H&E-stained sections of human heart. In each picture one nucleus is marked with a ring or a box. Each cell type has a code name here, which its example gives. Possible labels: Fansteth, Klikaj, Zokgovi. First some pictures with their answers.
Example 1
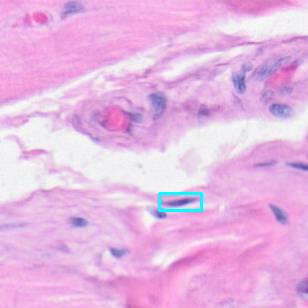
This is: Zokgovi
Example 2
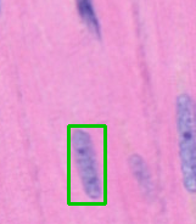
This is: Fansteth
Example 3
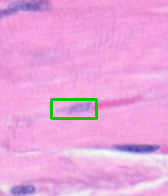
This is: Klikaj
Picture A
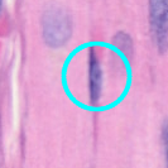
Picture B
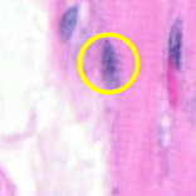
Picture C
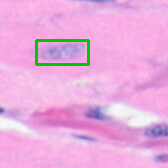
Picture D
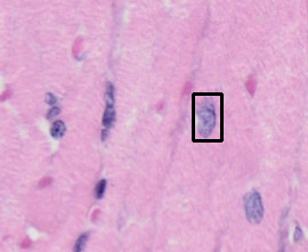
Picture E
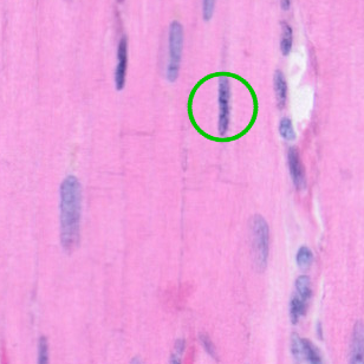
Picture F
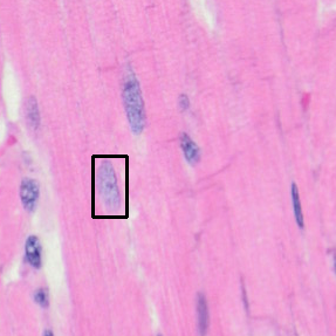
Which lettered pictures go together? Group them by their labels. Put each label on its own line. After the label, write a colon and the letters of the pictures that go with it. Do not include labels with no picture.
Fansteth: C, D, F
Klikaj: A, E
Zokgovi: B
